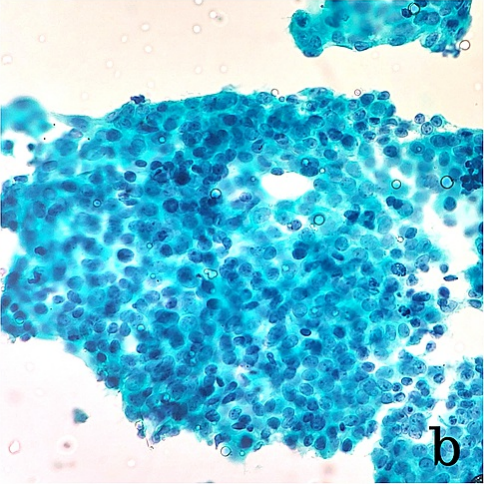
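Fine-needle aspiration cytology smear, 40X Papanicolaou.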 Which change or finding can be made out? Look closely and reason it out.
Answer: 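Nuclei in the cluster lie on top of one another. Nuclei vary in size and many are dark-staining.
Nuclear overlapping.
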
